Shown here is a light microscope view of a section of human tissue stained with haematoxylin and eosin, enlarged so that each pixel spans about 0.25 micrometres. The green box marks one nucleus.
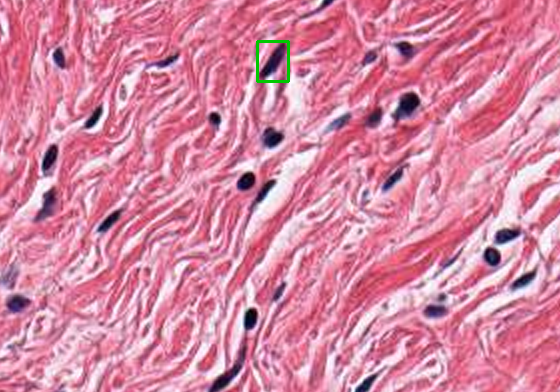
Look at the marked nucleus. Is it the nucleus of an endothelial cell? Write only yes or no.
no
